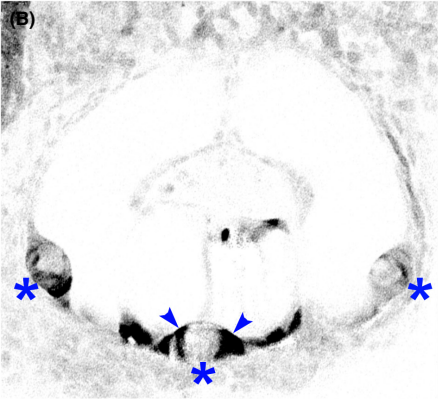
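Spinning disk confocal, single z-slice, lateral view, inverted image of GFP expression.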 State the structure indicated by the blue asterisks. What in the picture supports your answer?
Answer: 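Cristae. Three dome-shaped thickenings of the vesicle wall, one ventral and one at each side. Each dome bulges into the lumen.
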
